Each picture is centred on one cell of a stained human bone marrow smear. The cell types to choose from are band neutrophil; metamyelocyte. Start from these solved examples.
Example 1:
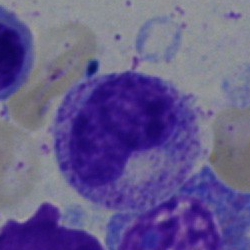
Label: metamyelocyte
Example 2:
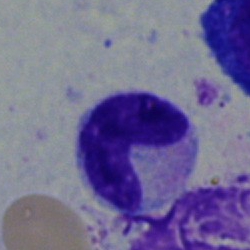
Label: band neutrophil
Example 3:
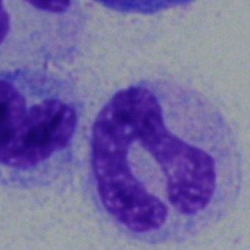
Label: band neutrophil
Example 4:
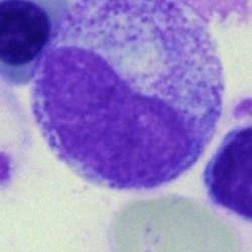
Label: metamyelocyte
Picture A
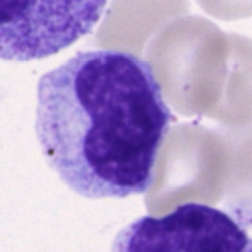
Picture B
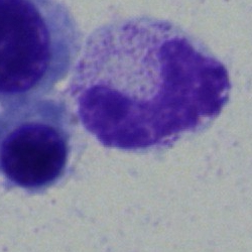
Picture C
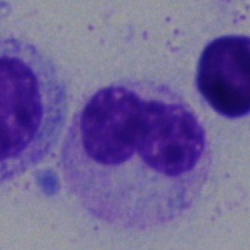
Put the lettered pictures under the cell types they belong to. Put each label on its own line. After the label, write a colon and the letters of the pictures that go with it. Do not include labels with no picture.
band neutrophil: B
metamyelocyte: A, C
